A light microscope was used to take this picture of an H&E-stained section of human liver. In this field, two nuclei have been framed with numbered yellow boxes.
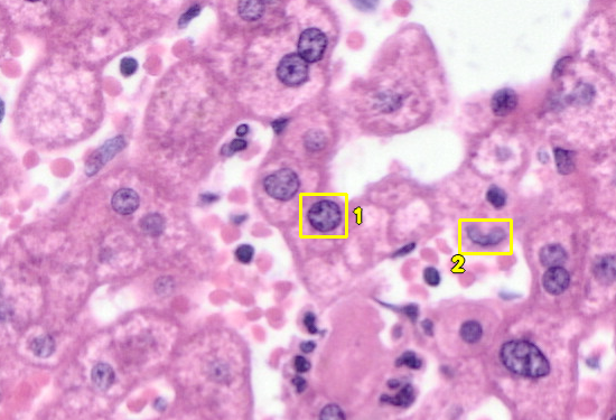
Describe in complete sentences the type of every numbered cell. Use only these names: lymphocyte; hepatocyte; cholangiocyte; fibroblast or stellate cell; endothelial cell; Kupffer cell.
Cell 1 is a hepatocyte and cell 2 is a Kupffer cell.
